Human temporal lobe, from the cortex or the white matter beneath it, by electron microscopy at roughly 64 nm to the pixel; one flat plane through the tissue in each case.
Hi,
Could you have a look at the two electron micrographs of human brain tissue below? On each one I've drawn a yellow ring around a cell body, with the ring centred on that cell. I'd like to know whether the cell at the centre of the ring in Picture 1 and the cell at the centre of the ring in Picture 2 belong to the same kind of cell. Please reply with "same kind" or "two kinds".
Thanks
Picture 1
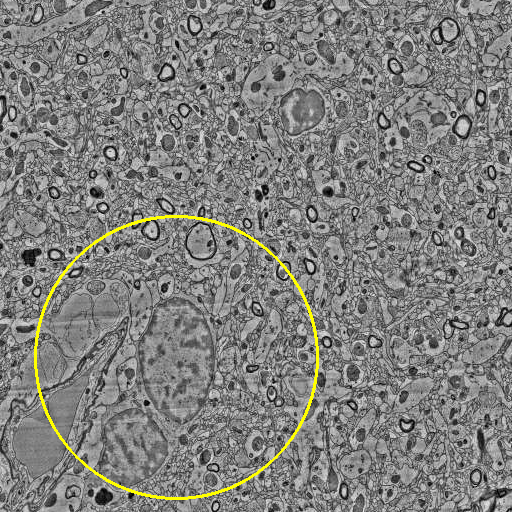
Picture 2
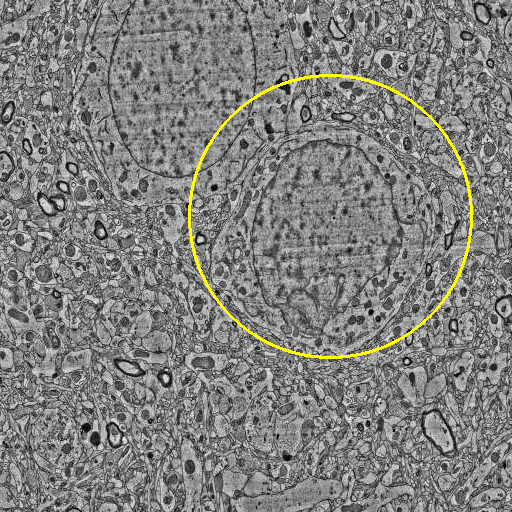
two kinds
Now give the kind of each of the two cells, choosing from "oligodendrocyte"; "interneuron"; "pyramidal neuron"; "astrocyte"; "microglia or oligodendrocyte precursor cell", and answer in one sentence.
The cell in the first picture is an oligodendrocyte, and the cell in the second is an interneuron.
